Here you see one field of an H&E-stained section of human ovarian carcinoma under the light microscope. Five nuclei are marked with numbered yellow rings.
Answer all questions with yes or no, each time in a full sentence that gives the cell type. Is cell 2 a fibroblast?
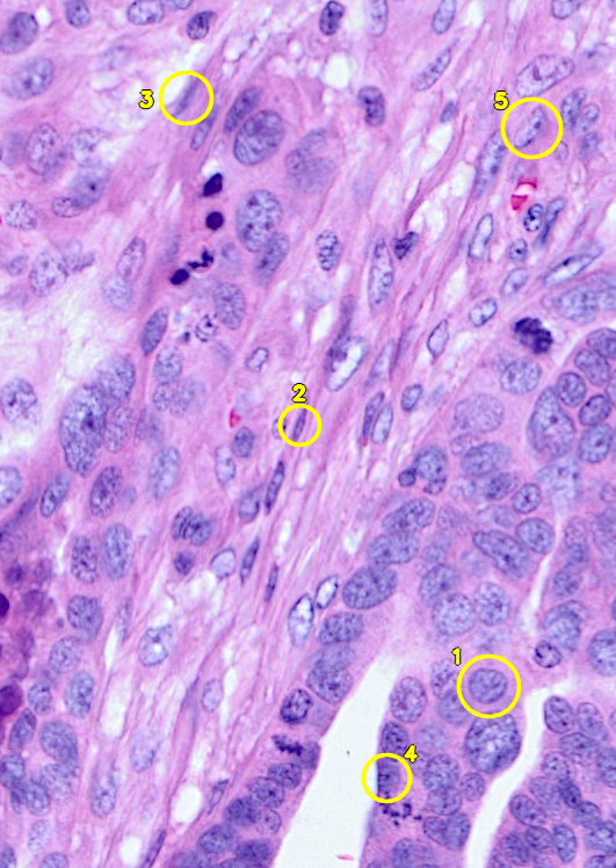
Yes, the cell identified as number 2 is a fibroblast.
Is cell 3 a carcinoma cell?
No, the cell marked 3 is a fibroblast rather than a carcinoma cell.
